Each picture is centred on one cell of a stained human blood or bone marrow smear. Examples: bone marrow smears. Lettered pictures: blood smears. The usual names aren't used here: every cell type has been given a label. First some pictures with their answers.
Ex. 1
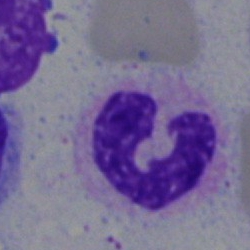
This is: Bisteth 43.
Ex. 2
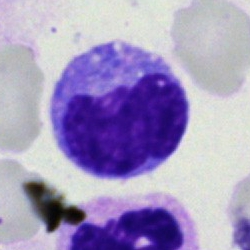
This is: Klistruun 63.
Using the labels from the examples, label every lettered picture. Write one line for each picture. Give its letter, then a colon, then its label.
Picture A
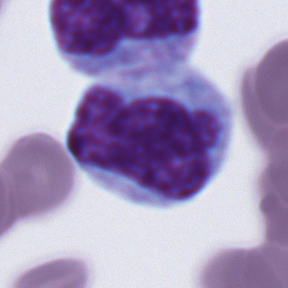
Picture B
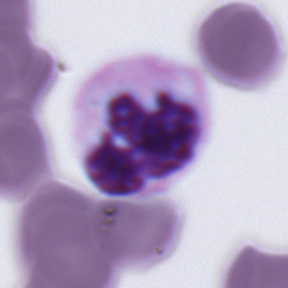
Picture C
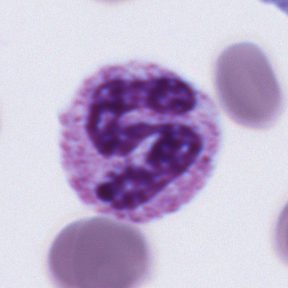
A: Klistruun 63.
B: Bisteth 43.
C: Bisteth 43.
